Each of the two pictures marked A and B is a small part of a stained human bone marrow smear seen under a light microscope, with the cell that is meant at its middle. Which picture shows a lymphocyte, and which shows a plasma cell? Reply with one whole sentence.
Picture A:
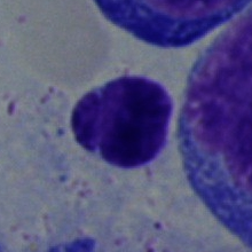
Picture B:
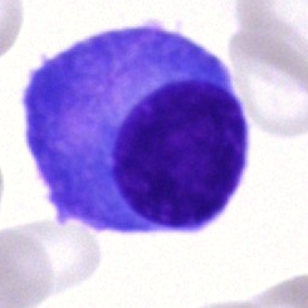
Picture A shows a lymphocyte and picture B shows a plasma cell.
